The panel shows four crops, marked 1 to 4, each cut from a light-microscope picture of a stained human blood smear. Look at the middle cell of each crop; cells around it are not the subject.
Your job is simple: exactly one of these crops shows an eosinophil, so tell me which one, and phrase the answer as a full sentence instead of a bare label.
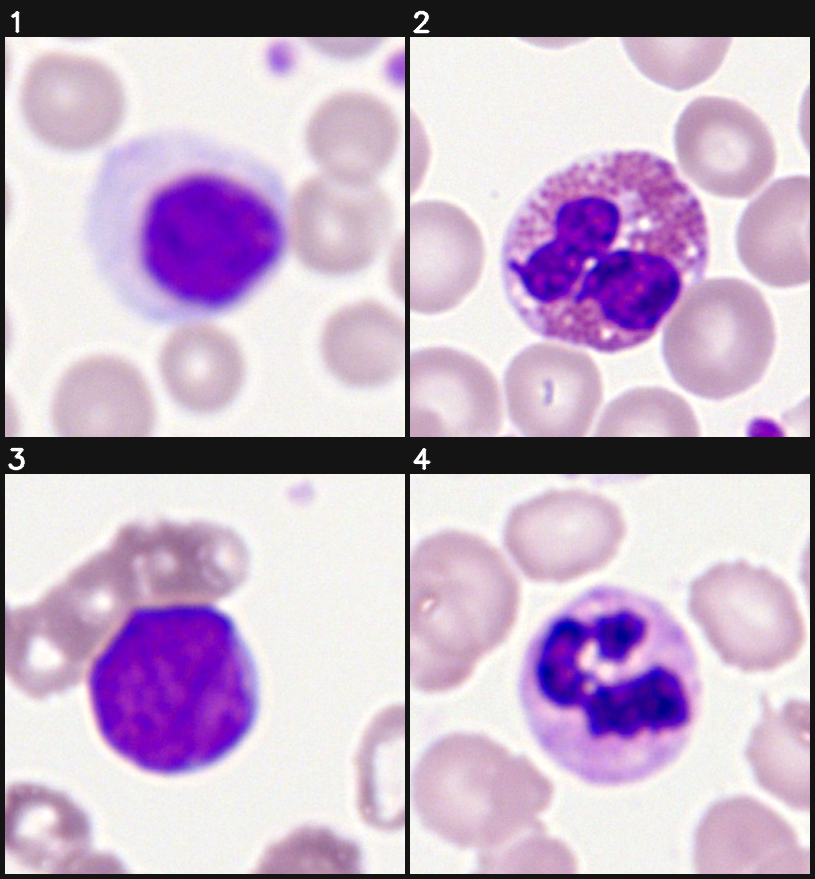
The crop marked 2 is the one that shows an eosinophil.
